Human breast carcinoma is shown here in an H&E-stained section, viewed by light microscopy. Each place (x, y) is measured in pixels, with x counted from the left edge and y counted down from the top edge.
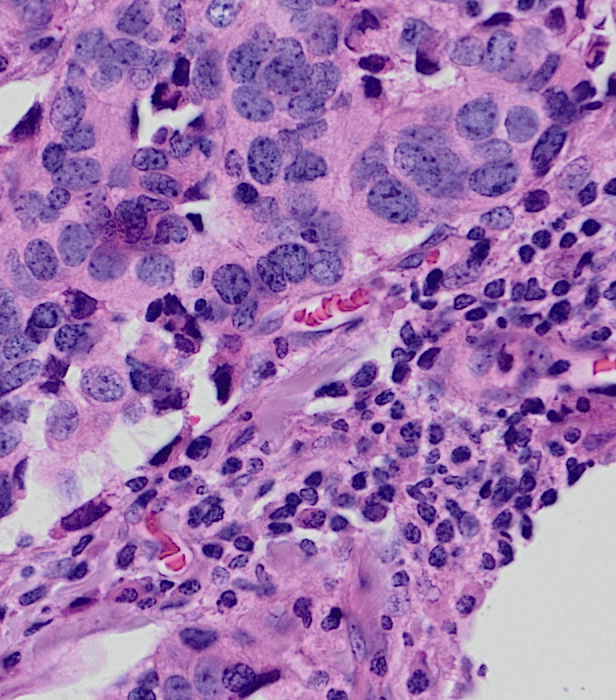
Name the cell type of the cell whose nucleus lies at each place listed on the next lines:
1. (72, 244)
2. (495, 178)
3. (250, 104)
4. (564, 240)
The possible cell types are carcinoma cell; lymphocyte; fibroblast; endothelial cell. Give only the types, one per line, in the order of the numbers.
carcinoma cell
carcinoma cell
carcinoma cell
lymphocyte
